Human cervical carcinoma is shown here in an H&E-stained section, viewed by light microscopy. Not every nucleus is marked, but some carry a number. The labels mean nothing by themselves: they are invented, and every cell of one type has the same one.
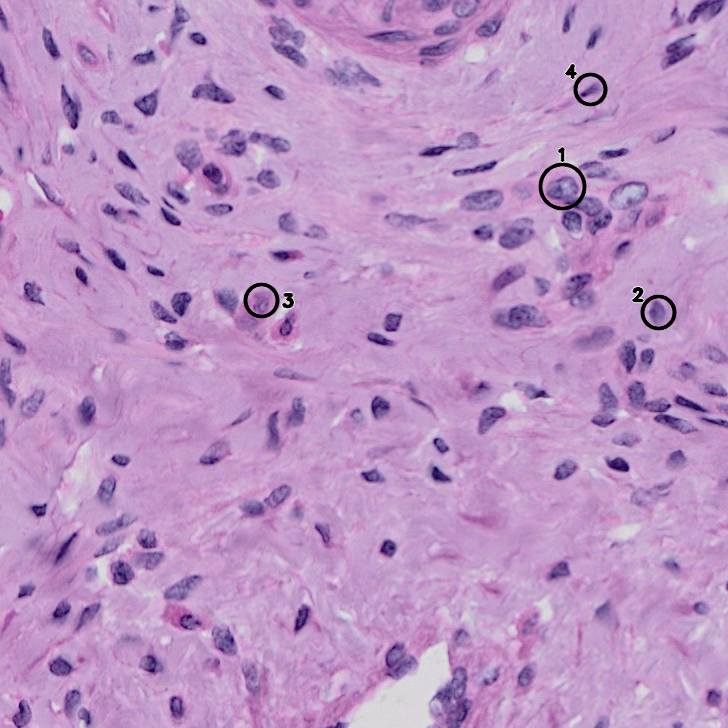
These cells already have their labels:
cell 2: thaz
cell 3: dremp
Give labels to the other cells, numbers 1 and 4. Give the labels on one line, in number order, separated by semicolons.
dremp; thaz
